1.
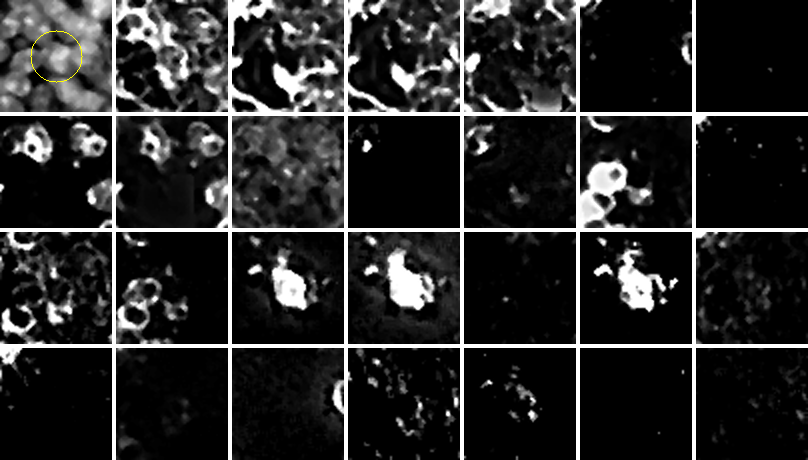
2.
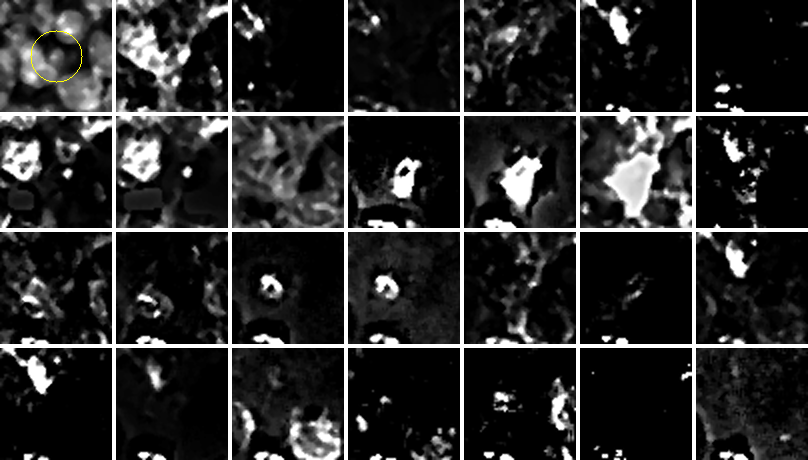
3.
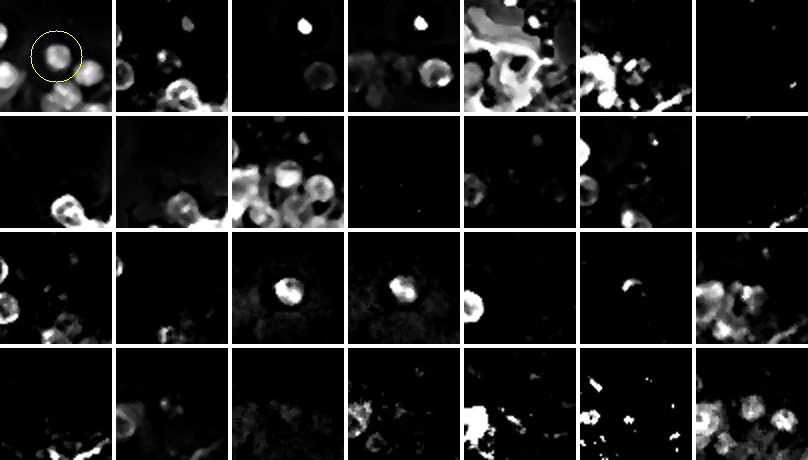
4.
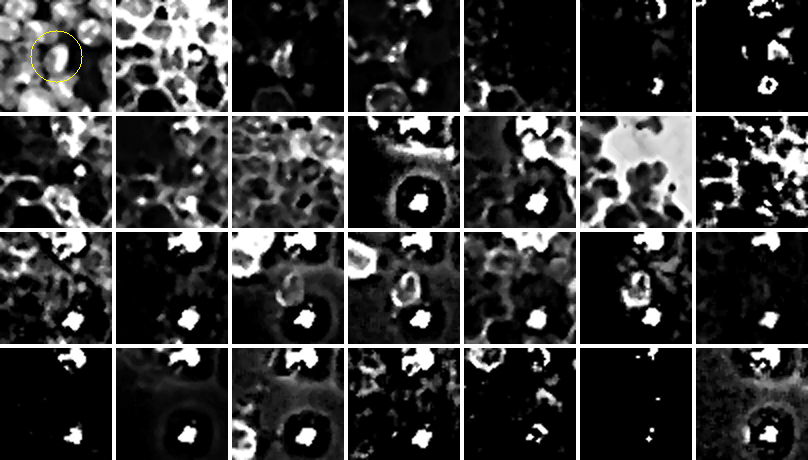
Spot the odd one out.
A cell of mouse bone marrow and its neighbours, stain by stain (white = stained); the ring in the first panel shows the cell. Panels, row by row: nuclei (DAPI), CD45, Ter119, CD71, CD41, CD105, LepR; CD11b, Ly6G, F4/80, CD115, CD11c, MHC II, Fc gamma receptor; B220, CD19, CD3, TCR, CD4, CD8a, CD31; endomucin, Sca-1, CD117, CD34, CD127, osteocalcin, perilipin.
Picture 2 (a conventional dendritic cell among CD8 T cells).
